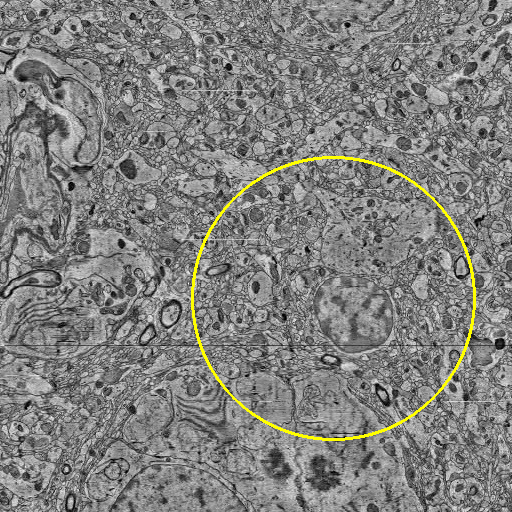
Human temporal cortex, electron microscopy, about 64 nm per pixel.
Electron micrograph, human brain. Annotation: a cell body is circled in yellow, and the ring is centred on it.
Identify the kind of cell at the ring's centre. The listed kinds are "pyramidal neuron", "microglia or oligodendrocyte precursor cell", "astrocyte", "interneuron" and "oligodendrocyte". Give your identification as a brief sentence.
The circled cell body is that of a microglial cell or oligodendrocyte precursor cell.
